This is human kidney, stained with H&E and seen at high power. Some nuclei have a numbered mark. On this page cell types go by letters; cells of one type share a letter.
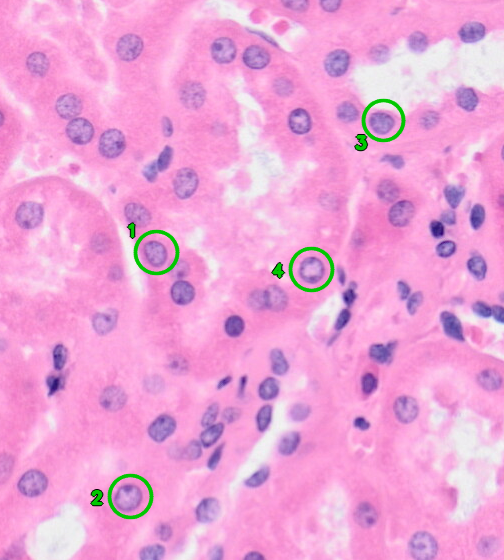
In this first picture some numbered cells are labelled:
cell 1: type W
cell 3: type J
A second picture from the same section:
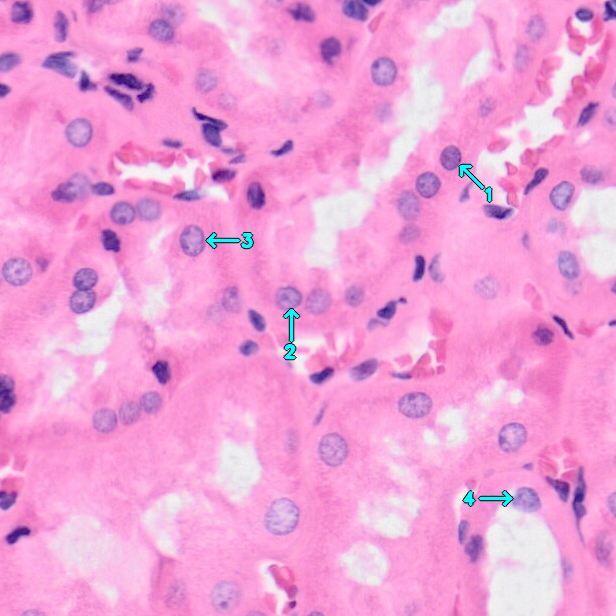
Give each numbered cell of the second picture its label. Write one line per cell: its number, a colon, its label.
1: type W
2: type W
3: type W
4: type J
